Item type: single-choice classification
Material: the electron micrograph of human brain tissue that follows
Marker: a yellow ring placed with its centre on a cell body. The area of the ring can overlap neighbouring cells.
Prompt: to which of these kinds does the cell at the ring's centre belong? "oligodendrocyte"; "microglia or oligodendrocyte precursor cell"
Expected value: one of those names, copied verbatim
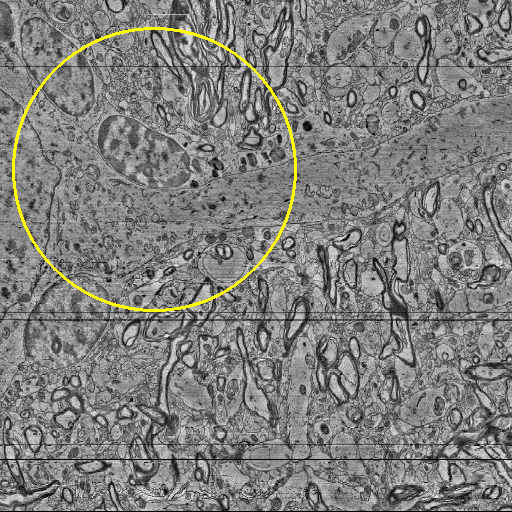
microglia or oligodendrocyte precursor cell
